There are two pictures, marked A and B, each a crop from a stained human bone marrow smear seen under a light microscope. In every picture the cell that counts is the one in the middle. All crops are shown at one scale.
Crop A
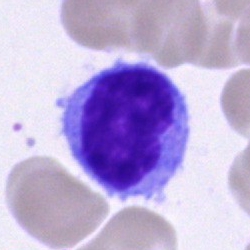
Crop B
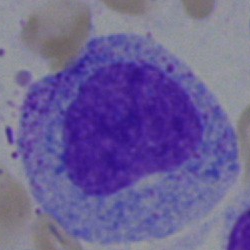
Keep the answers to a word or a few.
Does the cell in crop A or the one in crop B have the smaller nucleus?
A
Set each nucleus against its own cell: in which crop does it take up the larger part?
A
